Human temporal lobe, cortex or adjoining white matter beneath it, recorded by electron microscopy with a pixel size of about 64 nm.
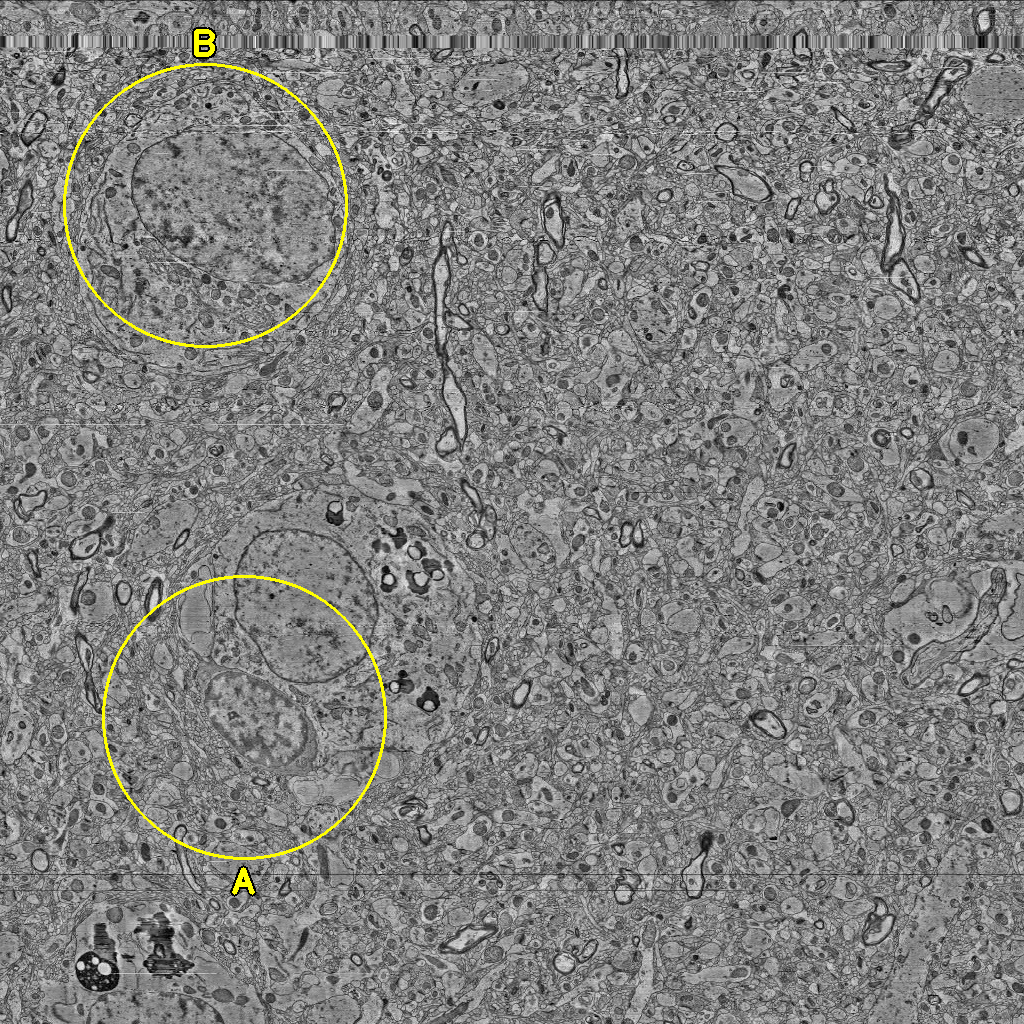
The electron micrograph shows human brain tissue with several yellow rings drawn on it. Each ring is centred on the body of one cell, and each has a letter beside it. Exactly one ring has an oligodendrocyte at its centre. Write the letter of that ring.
A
